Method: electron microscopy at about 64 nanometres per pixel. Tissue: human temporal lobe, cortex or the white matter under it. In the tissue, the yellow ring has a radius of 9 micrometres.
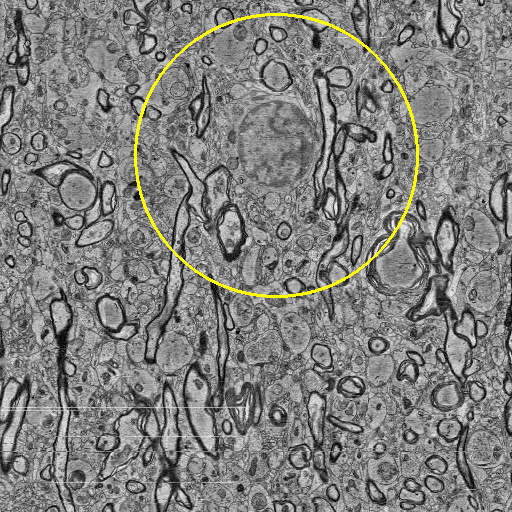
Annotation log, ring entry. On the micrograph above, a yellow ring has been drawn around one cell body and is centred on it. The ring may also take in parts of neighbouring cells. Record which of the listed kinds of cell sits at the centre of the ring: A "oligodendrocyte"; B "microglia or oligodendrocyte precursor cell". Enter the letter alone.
A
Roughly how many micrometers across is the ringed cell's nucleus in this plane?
About 6 micrometres across in this plane.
